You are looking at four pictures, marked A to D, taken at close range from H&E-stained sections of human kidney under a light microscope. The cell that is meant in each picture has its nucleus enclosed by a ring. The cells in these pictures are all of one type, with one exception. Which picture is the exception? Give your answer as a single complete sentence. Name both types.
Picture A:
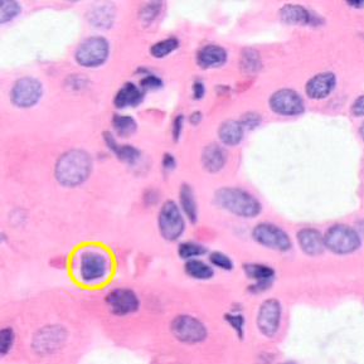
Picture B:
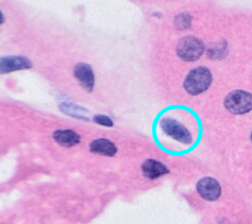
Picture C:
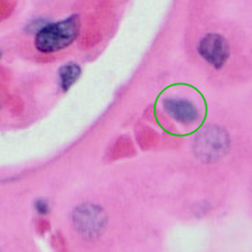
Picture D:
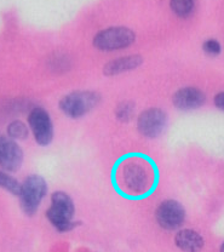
Picture D is the odd one out: it shows a “loop of Henle or distal tubule cell”, while the others show endothelial cells.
